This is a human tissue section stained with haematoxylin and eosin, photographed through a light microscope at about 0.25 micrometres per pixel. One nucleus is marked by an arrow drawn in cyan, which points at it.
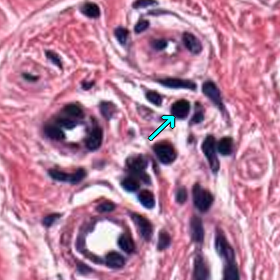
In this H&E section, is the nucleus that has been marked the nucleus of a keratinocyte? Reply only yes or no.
no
